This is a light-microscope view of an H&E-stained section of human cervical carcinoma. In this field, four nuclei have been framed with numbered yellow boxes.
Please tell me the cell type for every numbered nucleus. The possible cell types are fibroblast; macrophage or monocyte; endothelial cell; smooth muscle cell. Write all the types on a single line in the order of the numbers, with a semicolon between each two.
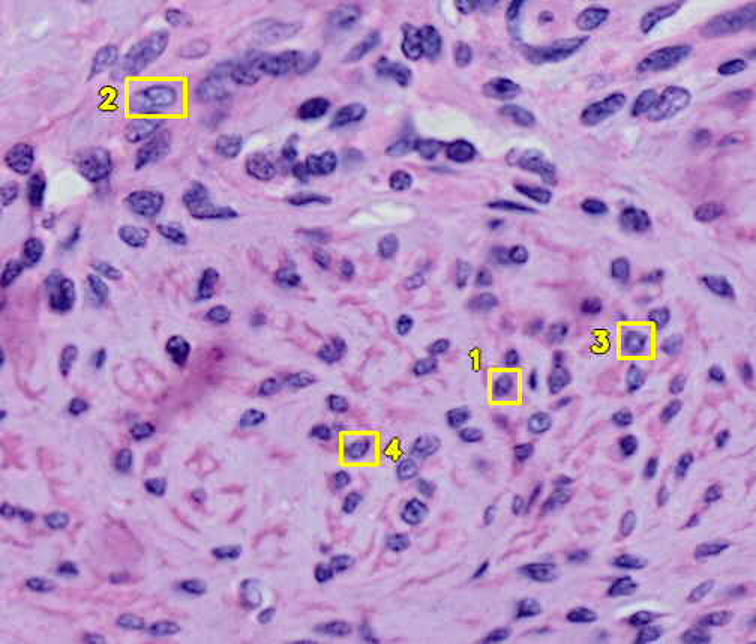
smooth muscle cell; endothelial cell; smooth muscle cell; smooth muscle cell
